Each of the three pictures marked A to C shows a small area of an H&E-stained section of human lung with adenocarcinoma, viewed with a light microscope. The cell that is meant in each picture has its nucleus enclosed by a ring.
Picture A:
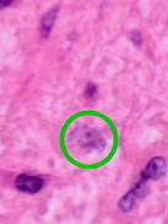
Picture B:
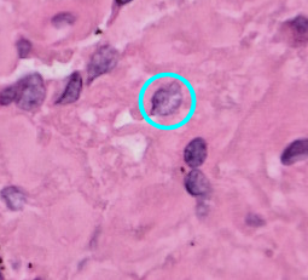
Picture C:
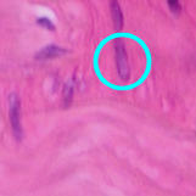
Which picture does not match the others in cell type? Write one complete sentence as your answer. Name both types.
The different one is picture C; it shows a “smooth muscle cell or pericyte”, whereas all the others show fibroblasts.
